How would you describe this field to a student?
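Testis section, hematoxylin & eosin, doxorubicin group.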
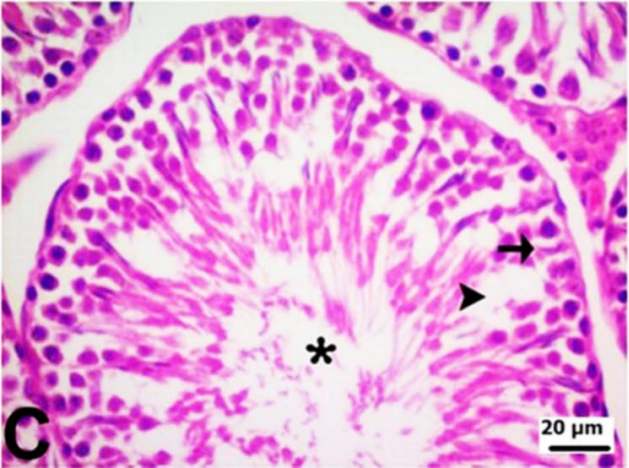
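A seminiferous tubule is seen, with spermatogenic cells in several layers above the outer border and bundles of elongated cells radiating toward a wide central lumen. The lumen holds loose, fragmented pink material, and clear empty spaces lie between the cells and bundles of the epithelium. The cell layers look looser and less orderly than a normal tubule.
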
